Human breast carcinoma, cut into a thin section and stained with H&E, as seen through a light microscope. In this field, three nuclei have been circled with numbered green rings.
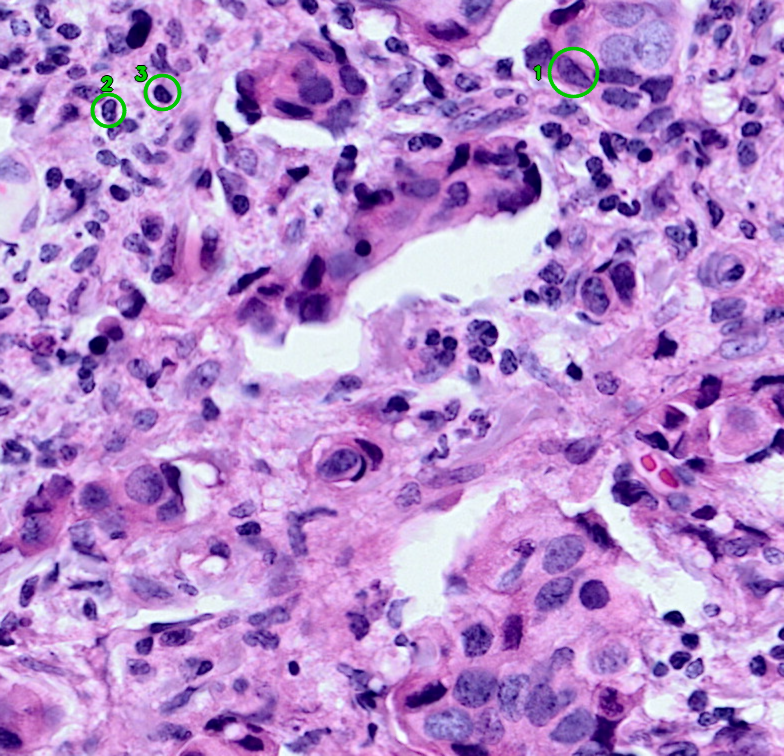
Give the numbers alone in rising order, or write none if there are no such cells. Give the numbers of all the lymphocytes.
2, 3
